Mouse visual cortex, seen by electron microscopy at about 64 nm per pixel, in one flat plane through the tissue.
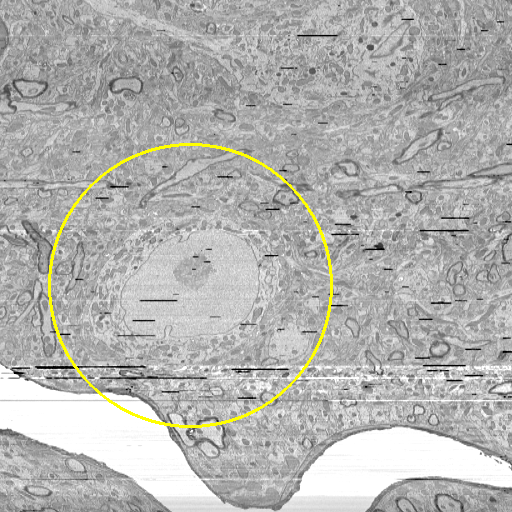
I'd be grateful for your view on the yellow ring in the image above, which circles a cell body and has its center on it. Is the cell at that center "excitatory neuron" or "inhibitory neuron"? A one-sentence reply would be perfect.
The cell at the center of the yellow ring is an inhibitory neuron.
